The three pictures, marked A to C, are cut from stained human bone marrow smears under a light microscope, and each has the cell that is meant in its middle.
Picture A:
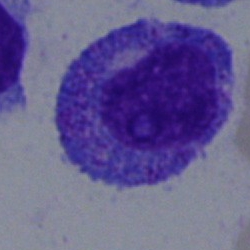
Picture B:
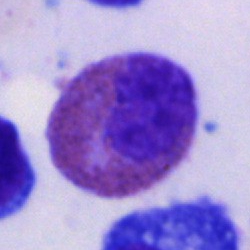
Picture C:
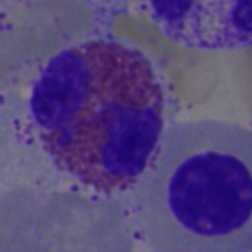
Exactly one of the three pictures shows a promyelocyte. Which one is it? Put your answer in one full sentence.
It is picture A that shows the promyelocyte.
